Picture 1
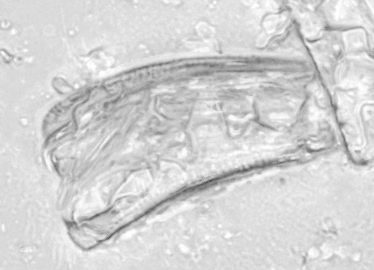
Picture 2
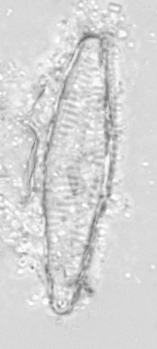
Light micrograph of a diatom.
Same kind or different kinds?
Different: the first is Rhoicosphenia, the second Gomphonema.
